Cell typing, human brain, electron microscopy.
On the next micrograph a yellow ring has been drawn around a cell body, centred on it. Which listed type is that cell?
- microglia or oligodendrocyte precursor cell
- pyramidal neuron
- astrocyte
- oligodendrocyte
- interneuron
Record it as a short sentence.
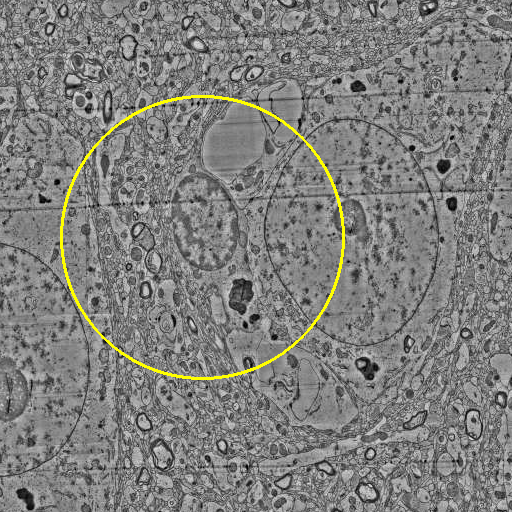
The cell body in the ring's centre belongs to an oligodendrocyte.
